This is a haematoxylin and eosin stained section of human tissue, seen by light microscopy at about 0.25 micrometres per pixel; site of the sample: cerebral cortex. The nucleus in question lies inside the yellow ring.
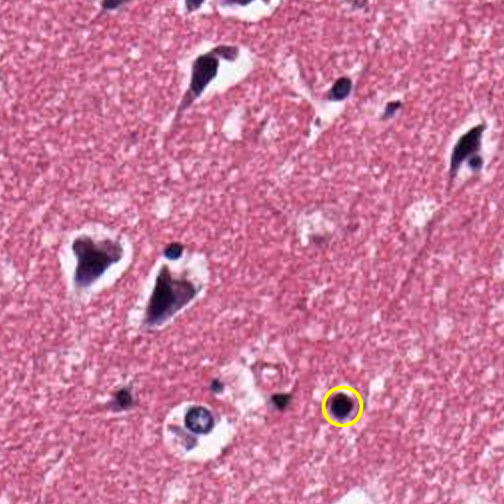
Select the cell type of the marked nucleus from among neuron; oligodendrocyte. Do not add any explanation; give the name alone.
oligodendrocyte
